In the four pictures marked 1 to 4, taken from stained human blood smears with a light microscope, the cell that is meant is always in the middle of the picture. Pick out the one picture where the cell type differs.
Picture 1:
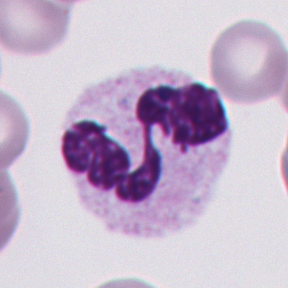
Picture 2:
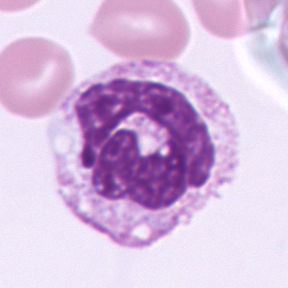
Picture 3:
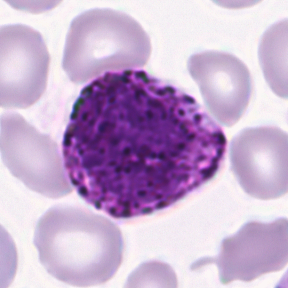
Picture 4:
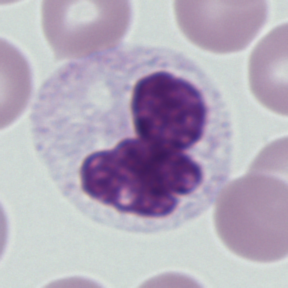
3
